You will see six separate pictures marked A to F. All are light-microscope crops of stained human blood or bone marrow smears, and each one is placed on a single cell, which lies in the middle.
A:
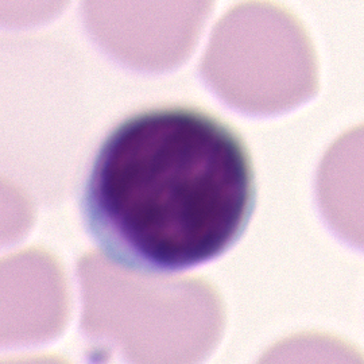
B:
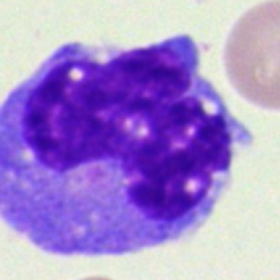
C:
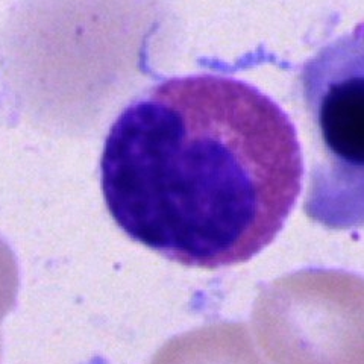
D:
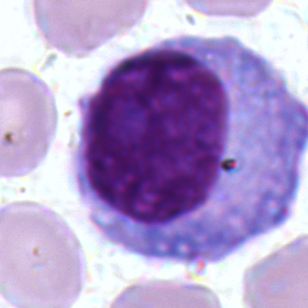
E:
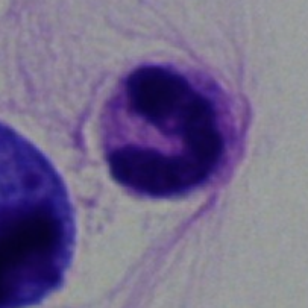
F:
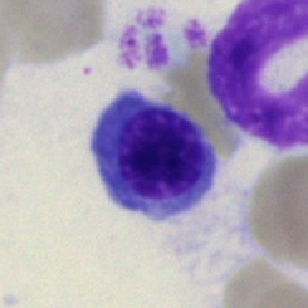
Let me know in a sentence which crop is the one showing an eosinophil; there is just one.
The crop bearing an eosinophil is crop C.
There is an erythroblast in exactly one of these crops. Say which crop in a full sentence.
Crop F, and no other, is the one that shows an erythroblast.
